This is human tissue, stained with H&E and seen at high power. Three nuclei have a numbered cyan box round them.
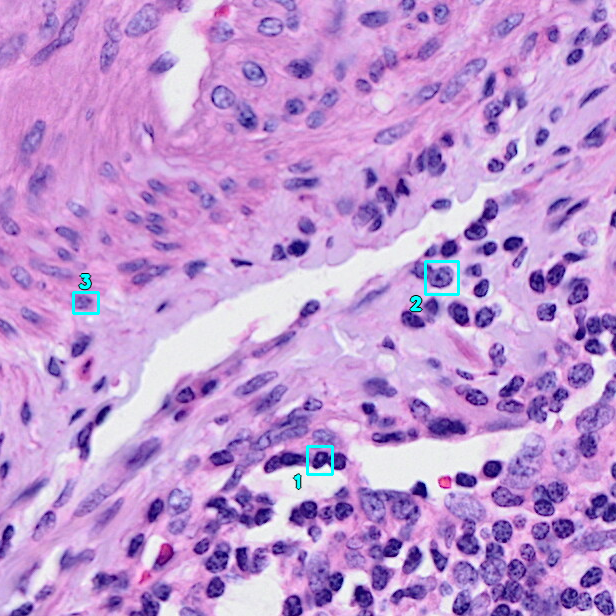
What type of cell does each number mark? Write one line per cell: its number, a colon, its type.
1: lymphocyte
2: lymphocyte
3: smooth muscle cell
